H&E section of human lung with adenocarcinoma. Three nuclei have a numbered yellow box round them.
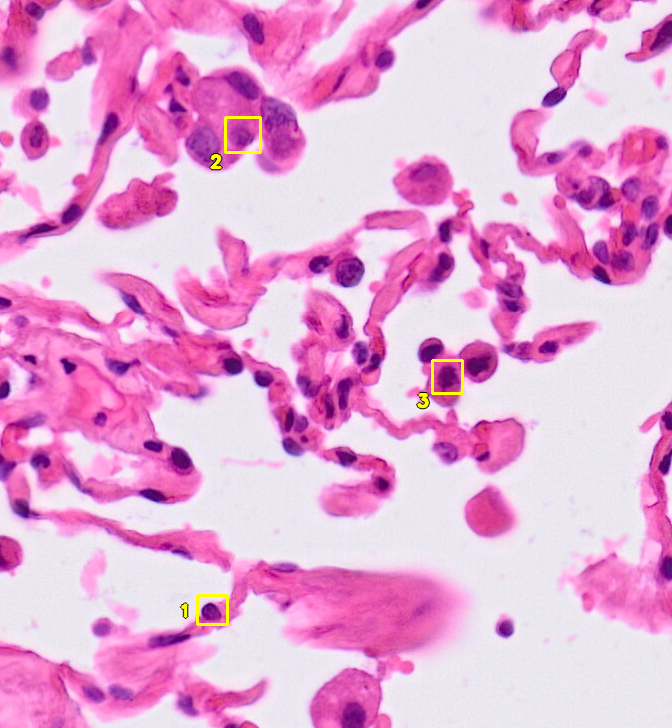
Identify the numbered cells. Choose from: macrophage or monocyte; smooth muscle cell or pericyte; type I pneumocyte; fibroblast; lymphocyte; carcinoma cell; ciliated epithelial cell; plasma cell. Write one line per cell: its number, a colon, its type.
1: type I pneumocyte
2: carcinoma cell
3: macrophage or monocyte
